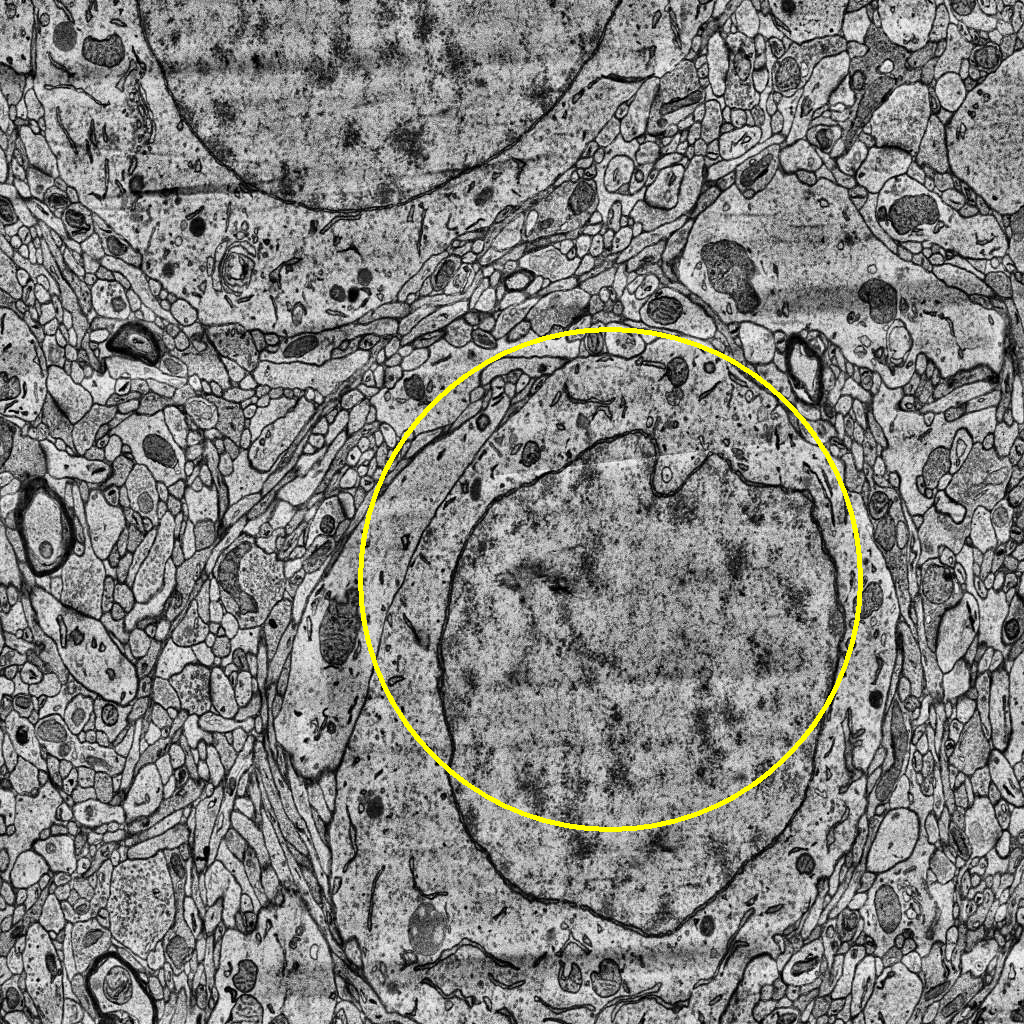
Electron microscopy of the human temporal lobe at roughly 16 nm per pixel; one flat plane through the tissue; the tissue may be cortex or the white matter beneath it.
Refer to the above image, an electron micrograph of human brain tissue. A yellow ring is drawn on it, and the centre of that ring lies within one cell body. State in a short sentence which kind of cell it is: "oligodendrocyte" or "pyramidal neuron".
The centre of the ring falls on a pyramidal neuron.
